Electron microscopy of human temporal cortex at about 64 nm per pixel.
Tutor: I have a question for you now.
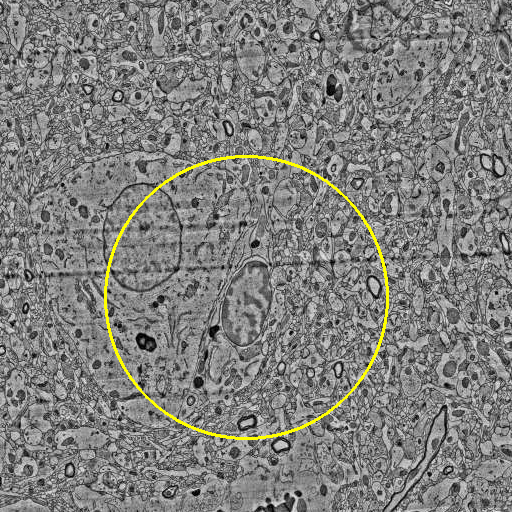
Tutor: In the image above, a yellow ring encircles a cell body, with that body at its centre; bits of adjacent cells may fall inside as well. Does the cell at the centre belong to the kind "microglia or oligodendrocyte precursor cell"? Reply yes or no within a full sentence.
Yes, the cell at the centre of the yellow ring in the picture is of that kind.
